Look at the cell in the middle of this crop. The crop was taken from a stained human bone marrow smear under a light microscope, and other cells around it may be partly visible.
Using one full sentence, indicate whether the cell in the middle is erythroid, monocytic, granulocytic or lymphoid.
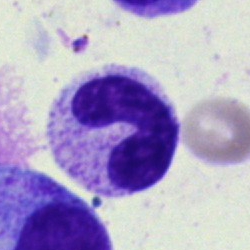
Within the granulocytic lineage lies the cell at the center of the crop.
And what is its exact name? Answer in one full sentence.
The central cell in this smear crop is a band neutrophil.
